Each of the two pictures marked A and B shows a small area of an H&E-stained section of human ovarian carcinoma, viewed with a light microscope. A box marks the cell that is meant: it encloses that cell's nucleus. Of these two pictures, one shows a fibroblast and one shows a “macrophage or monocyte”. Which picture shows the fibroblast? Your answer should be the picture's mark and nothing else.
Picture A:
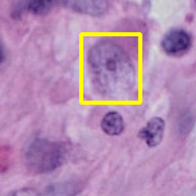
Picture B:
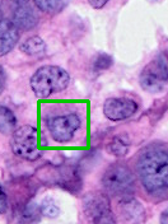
A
